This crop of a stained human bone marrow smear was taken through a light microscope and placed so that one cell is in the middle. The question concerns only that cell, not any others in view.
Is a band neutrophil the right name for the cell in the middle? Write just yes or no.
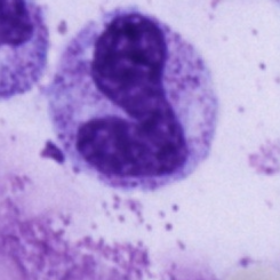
yes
